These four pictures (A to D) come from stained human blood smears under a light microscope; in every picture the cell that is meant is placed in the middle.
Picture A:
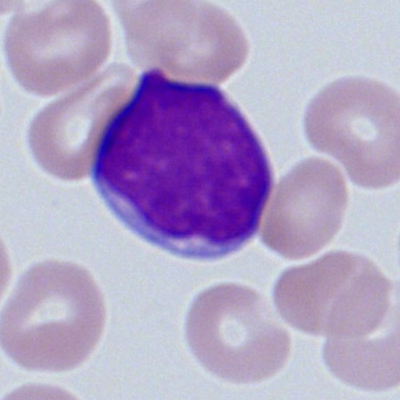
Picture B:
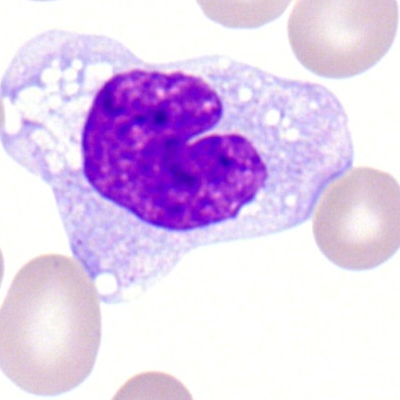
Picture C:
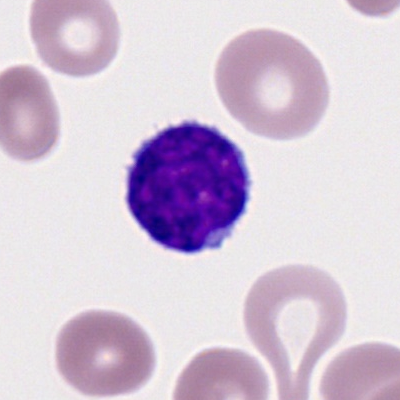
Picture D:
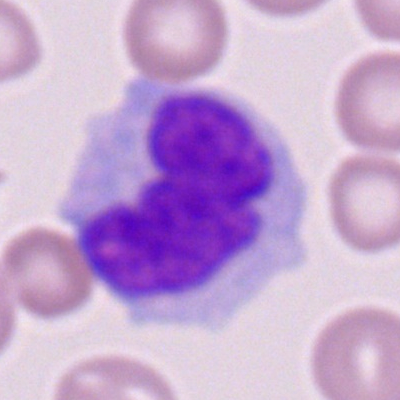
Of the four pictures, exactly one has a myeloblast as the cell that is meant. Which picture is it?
A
